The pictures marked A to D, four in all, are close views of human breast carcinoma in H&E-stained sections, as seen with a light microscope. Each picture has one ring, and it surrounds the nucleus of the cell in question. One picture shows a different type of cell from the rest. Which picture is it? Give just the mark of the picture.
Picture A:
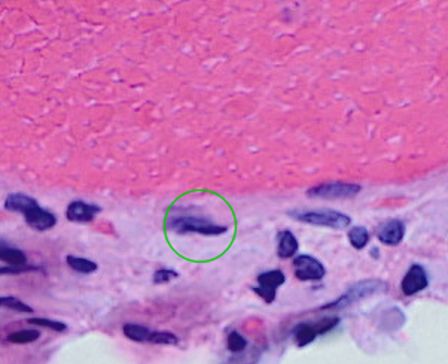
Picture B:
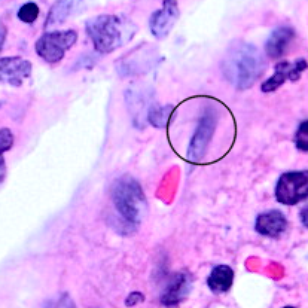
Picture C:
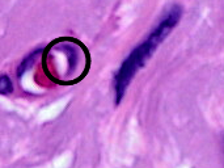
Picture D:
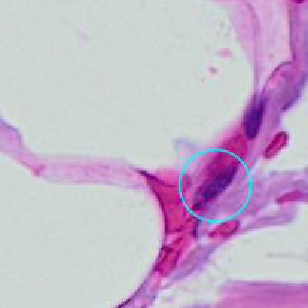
A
